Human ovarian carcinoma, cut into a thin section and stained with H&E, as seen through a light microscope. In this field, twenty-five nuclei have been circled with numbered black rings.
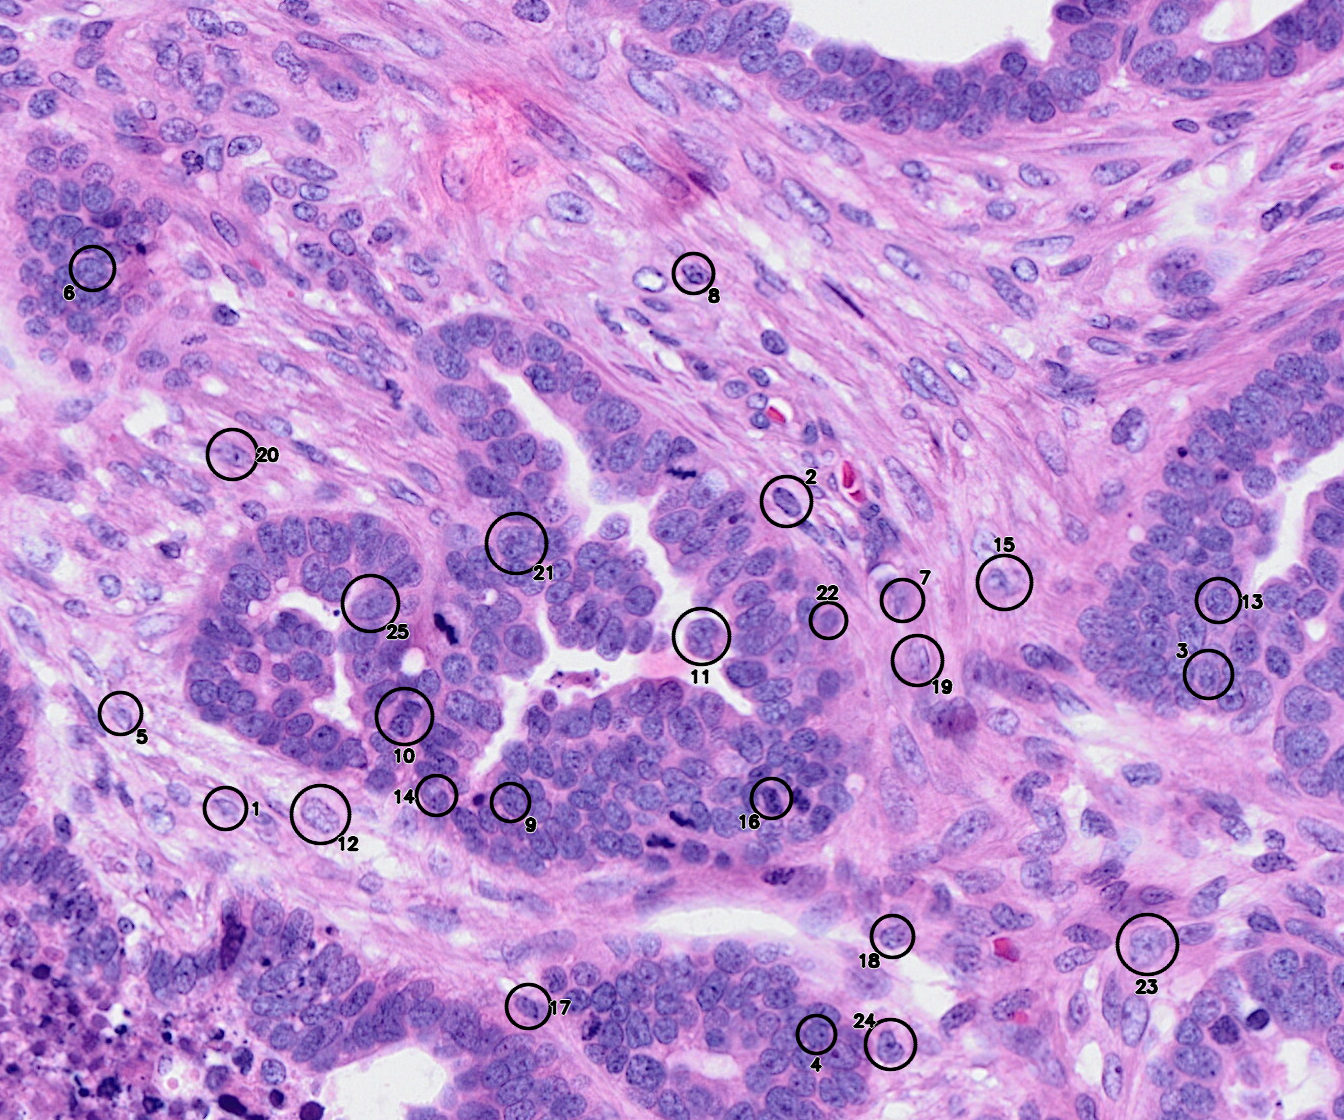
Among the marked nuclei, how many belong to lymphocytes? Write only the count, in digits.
1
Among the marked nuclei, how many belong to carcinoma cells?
12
